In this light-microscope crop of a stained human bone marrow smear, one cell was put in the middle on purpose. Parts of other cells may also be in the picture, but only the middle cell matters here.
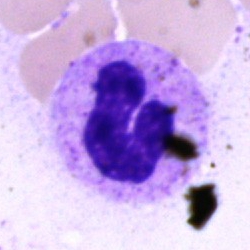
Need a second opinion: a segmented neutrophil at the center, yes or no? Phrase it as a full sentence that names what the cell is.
No, not a segmented neutrophil but a band neutrophil is the cell in the centre.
